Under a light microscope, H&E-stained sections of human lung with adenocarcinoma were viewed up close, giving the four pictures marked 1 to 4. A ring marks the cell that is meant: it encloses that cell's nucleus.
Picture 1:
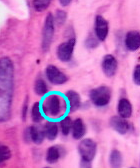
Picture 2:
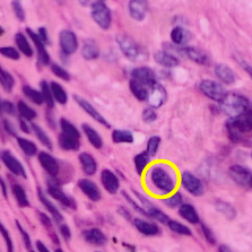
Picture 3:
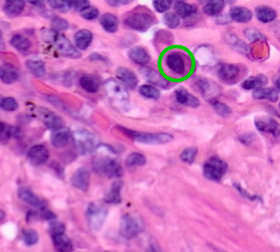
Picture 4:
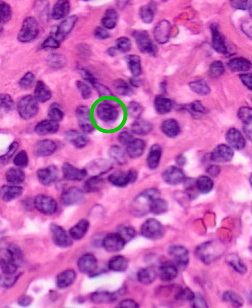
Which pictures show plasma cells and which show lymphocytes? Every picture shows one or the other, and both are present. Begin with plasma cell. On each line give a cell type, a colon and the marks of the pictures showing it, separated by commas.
plasma cell: 3
lymphocyte: 1, 2, 4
